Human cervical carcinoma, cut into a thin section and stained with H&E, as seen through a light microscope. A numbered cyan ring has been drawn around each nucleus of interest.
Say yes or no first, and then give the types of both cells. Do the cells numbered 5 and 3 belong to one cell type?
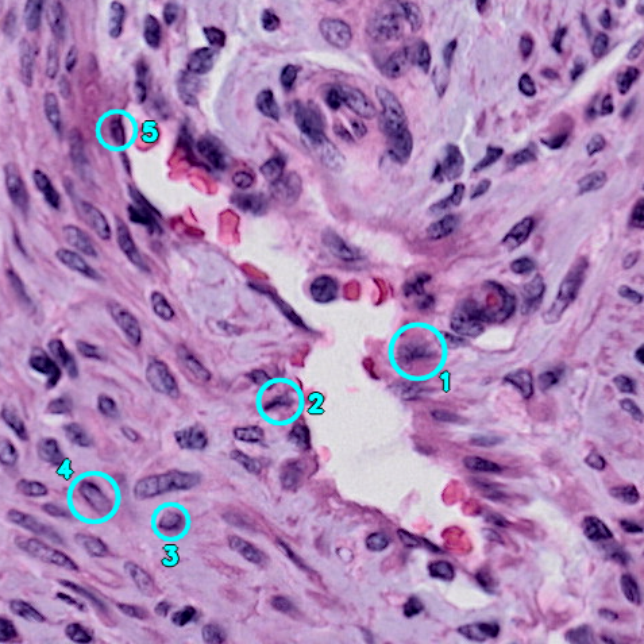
No, while cell 5 is an endothelial cell, cell 3 is a smooth muscle cell.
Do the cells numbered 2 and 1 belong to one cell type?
Yes, each of the two cells, 2 and 1, is among the endothelial cells.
